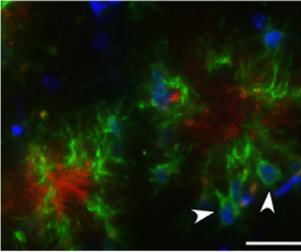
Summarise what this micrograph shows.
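A brain section shows red extracellular deposits surrounded by green cells with many short, branched processes. On the left lies a compact red deposit with a spiky, fibrillar rim; at upper right a fainter, more diffuse red patch. The green cells crowd around both, their processes touching the edges of the red material, and blue nuclei lie among them. Small red dots sit near a few of the green cells at lower right.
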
